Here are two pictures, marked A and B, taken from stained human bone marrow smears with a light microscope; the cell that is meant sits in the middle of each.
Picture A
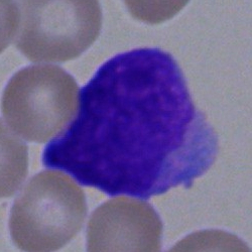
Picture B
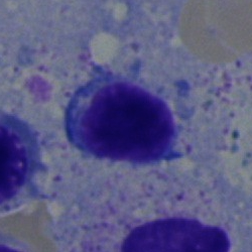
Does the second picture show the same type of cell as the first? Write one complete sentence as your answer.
No; the cell in picture A is a blast, while the one in picture B is a lymphocyte.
